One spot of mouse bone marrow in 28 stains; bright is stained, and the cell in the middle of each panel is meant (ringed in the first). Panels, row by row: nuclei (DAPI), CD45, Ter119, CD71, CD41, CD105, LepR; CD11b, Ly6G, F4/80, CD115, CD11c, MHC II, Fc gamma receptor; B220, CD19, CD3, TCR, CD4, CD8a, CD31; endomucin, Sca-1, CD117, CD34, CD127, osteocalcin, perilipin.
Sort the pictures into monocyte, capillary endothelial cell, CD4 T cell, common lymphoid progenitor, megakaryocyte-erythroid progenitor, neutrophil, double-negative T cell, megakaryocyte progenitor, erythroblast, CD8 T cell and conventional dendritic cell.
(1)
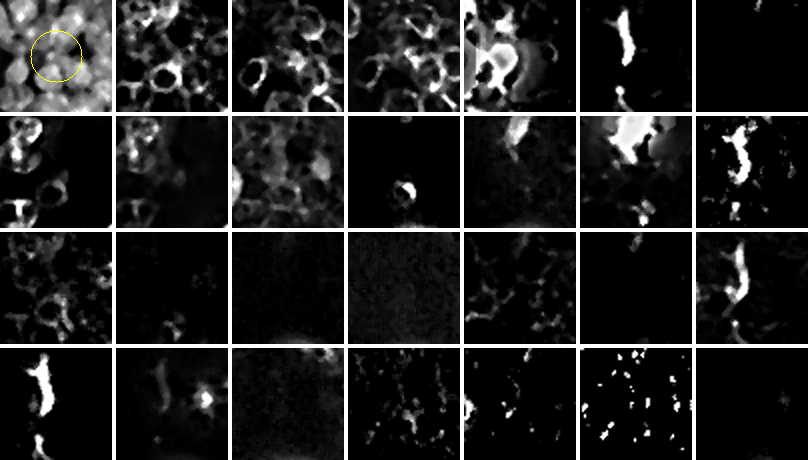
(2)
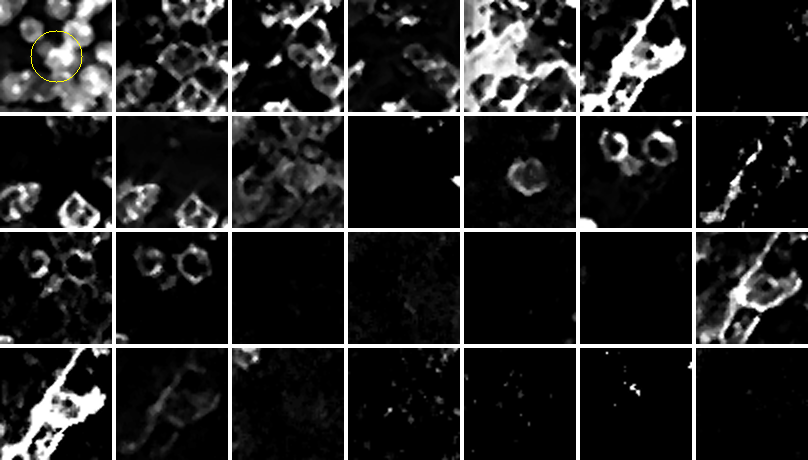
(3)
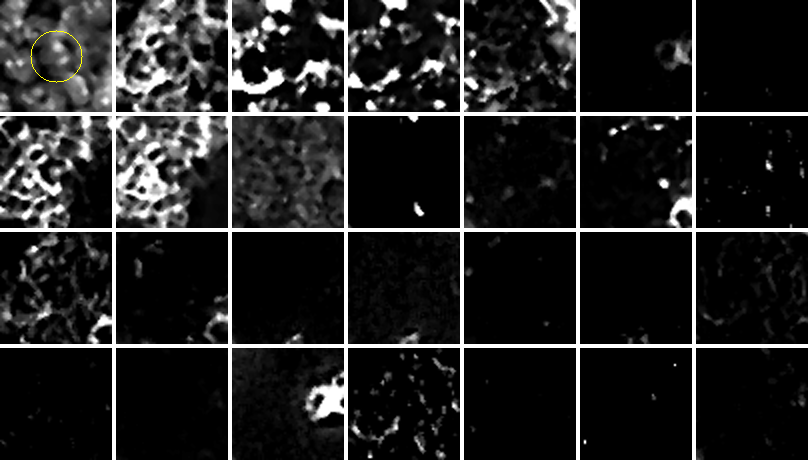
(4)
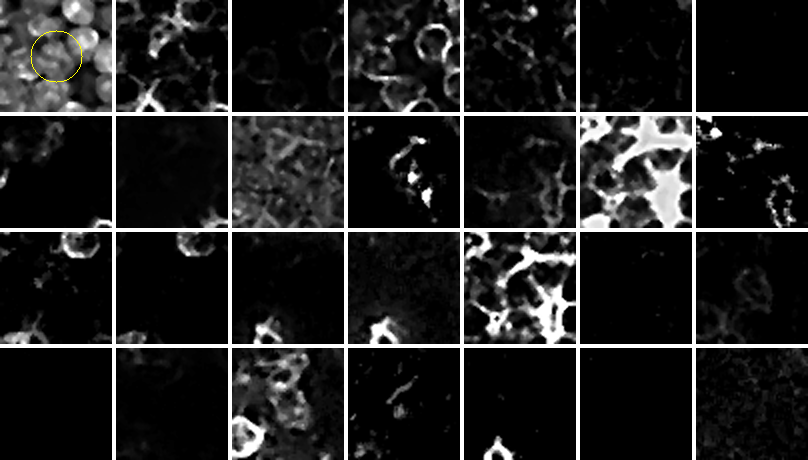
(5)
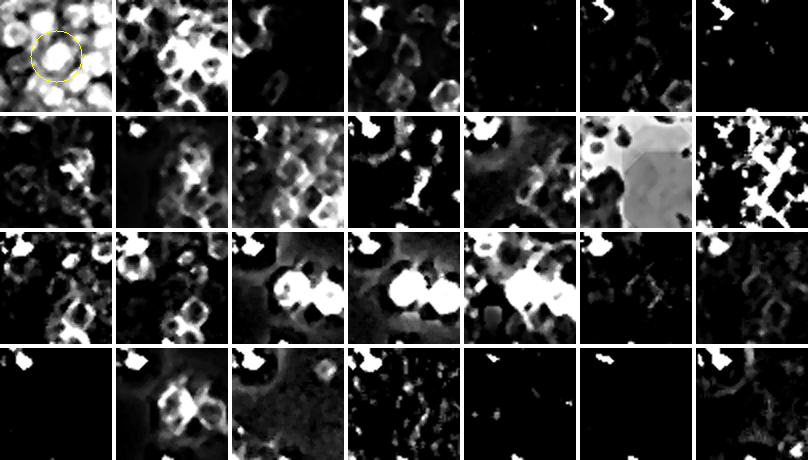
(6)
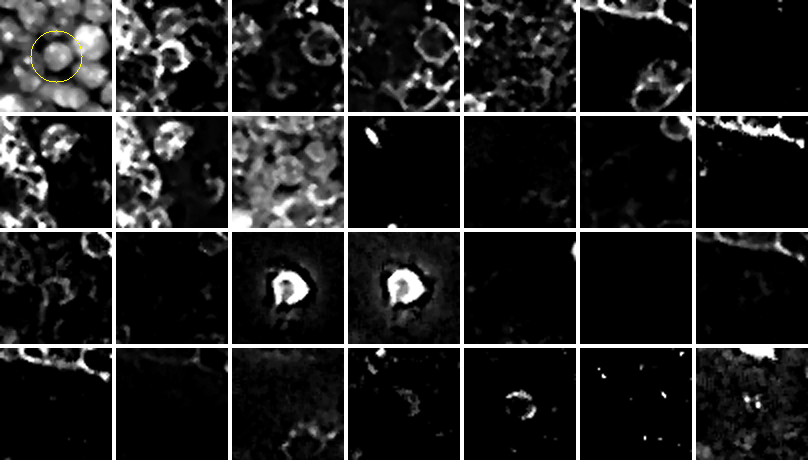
Capillary endothelial cells: 1, 2
Neutrophils: 3
Megakaryocyte-erythroid progenitors: 4
CD4 T cells: 5
Double-negative T cells: 6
